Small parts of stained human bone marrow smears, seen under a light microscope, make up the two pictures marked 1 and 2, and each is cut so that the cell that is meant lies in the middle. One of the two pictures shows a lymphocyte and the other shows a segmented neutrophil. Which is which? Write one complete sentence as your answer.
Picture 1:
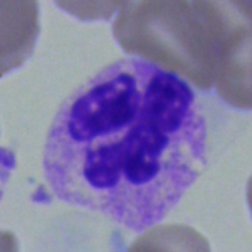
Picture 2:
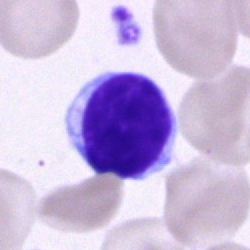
Picture 1 shows a segmented neutrophil and picture 2 shows a lymphocyte.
